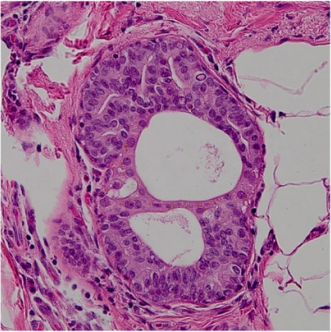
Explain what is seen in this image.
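A breast duct whose lining is thickened into several layers of epithelial cells with purple oval nuclei, still enclosing two open lumens. The duct is rimmed by pink fibrous stroma, with empty-looking fat cells at the side.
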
